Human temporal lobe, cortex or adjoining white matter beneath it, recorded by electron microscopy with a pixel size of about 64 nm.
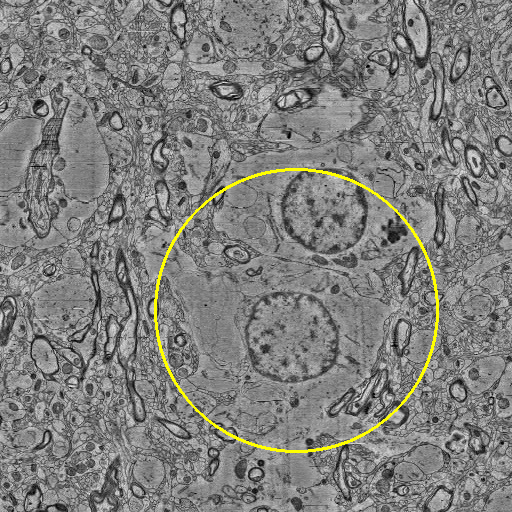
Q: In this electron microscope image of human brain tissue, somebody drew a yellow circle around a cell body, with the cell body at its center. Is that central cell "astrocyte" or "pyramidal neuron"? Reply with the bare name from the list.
astrocyte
